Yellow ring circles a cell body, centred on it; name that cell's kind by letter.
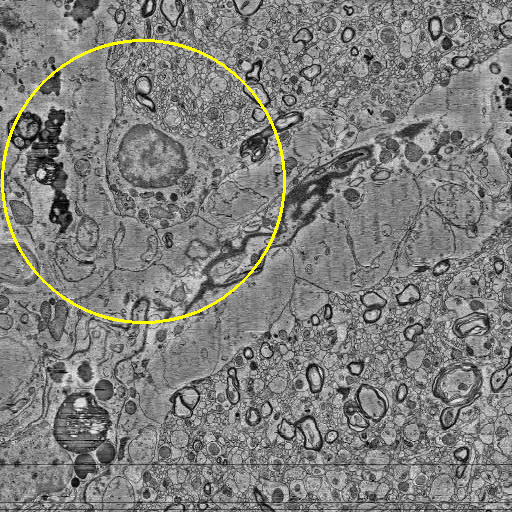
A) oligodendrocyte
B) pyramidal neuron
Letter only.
A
